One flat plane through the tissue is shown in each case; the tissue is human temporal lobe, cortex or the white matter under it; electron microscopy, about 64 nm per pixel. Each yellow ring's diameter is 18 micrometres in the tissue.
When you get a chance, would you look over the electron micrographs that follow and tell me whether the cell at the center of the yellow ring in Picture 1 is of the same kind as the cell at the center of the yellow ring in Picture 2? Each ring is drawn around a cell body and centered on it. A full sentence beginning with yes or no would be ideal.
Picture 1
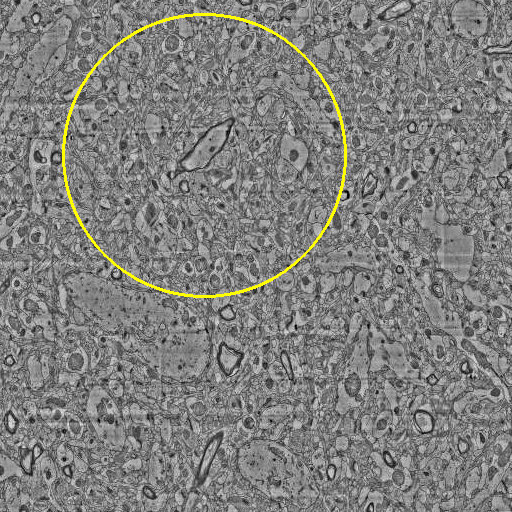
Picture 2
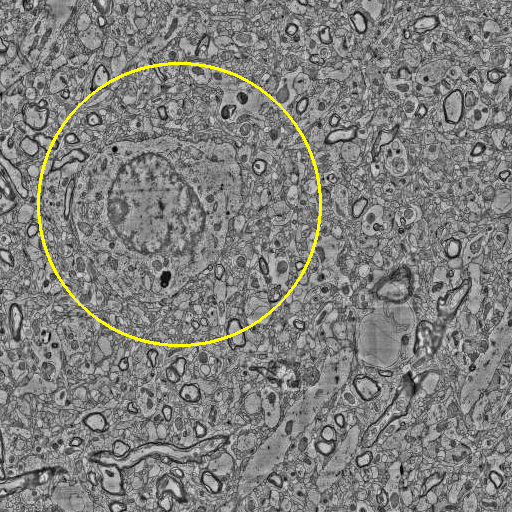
No, they are two kinds of cell.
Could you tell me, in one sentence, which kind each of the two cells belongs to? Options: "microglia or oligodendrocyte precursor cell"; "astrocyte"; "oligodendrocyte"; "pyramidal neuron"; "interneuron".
At the centre of the first ring sits a microglial cell or oligodendrocyte precursor cell, and at the centre of the second sits an interneuron.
